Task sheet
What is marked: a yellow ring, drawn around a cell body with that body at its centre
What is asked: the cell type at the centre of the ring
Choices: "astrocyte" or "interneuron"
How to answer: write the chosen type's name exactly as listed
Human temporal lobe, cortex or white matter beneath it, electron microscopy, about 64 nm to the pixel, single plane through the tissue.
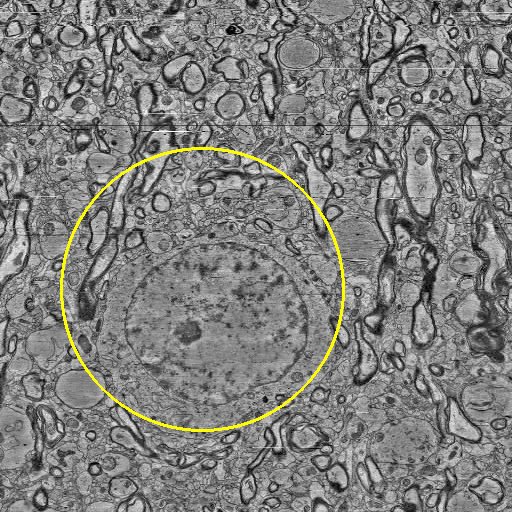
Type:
interneuron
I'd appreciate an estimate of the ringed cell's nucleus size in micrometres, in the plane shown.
The nucleus comes to roughly 11 micrometres across in this plane.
